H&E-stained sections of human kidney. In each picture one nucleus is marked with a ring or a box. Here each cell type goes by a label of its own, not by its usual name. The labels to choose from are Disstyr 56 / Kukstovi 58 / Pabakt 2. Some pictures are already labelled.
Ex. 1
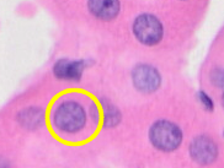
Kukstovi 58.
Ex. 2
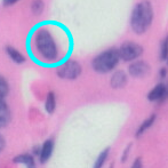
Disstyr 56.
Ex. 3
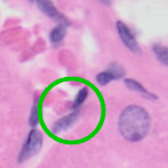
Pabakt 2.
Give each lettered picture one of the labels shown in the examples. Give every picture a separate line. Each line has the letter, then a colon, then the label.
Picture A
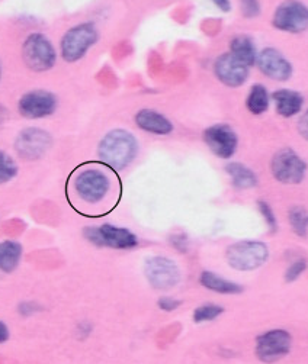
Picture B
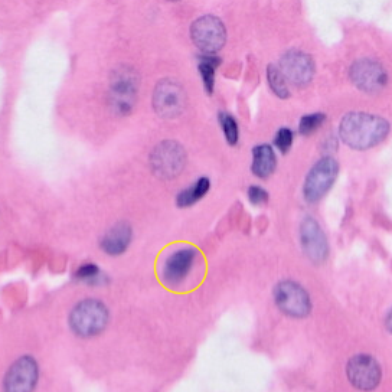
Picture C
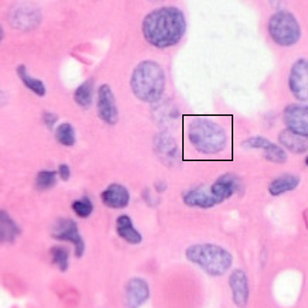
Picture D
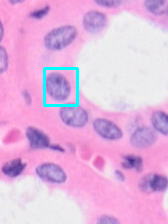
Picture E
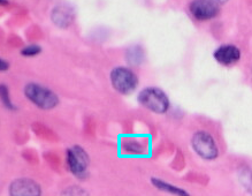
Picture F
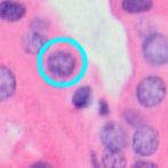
A: Disstyr 56.
B: Pabakt 2.
C: Disstyr 56.
D: Disstyr 56.
E: Pabakt 2.
F: Disstyr 56.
